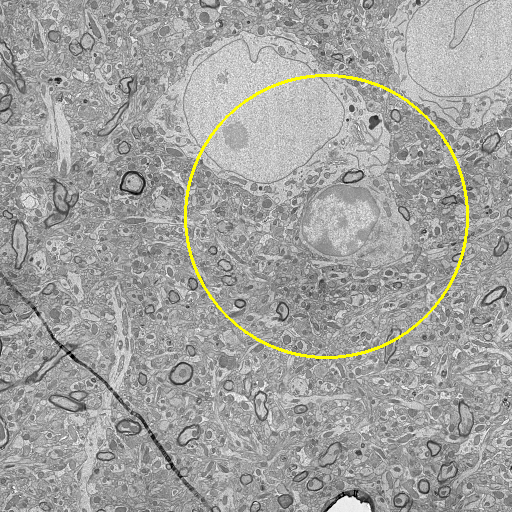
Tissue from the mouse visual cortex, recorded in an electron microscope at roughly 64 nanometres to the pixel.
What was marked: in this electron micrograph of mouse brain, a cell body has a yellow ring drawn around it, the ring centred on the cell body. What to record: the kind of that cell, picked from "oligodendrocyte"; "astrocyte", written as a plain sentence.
The centred cell is an oligodendrocyte.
